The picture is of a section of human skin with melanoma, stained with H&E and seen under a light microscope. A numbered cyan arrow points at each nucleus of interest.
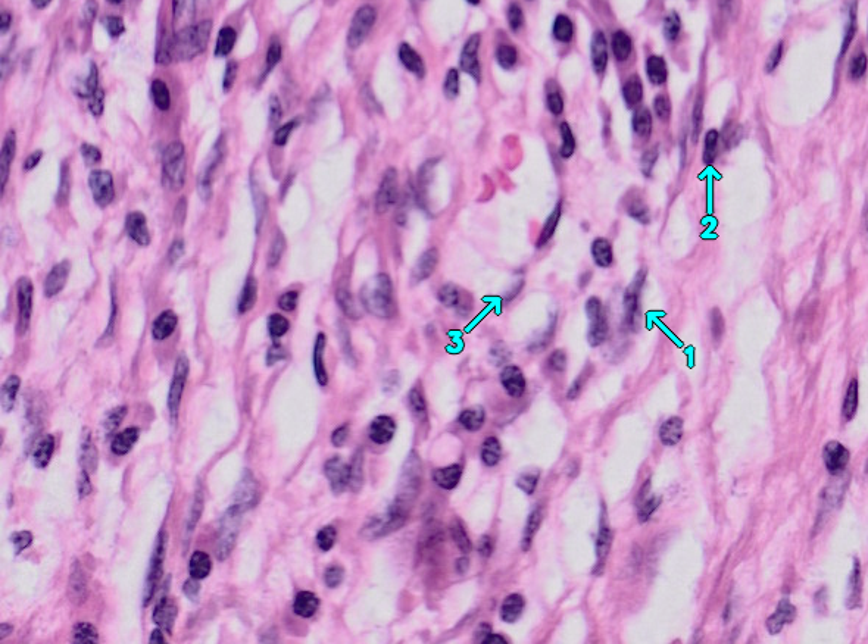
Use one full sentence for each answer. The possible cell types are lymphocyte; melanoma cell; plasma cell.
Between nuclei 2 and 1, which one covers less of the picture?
With nucleus 1 about 2 times its size, nucleus 2 is the smaller of the two.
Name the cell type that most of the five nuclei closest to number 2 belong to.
Around number 2, most of the five nearest nuclei are those of plasma cells.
